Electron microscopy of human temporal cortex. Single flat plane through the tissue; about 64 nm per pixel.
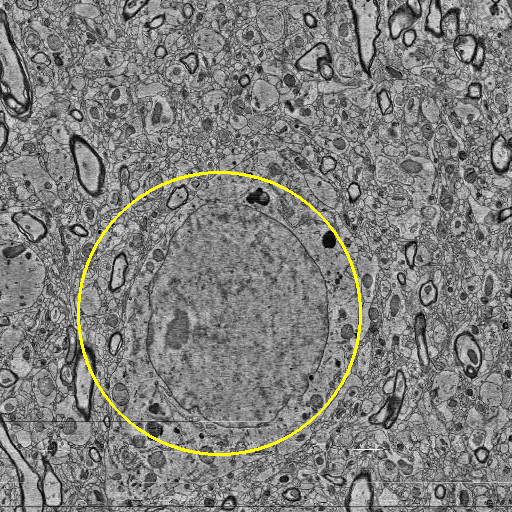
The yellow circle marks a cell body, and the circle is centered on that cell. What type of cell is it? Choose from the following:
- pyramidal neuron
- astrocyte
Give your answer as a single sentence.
This cell body belongs to a pyramidal neuron.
